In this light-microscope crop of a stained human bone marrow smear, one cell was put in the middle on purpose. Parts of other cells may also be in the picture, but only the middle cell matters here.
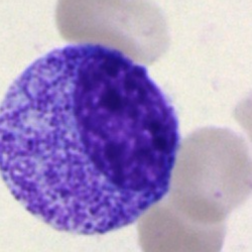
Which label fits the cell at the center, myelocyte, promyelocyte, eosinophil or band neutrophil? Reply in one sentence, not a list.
The cell nearest the centre of this crop is a myelocyte.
